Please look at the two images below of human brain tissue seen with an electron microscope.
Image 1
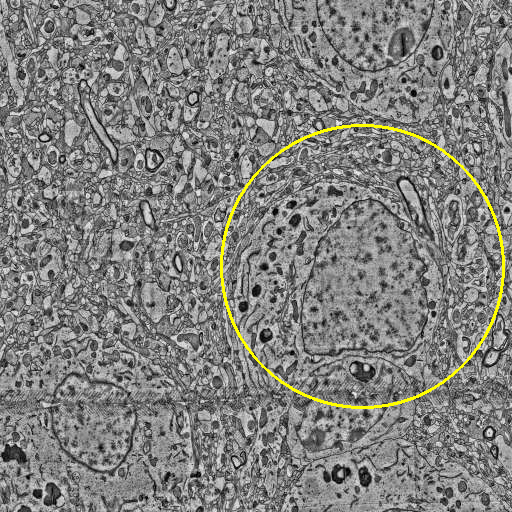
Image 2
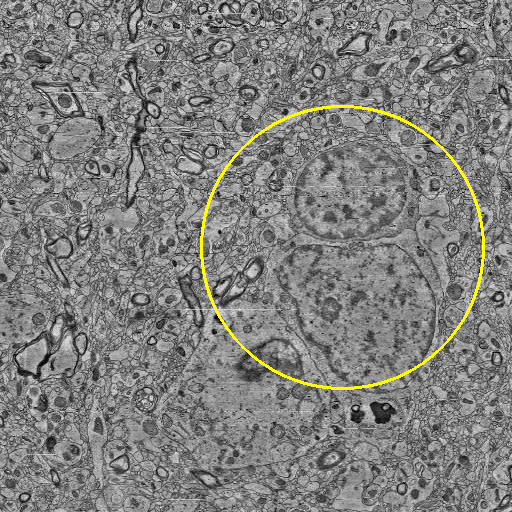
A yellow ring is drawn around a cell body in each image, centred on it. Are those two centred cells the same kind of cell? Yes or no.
yes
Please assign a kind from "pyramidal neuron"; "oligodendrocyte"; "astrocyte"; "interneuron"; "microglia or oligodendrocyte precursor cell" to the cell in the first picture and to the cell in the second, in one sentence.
Both cells are the same kind, each one being an interneuron.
